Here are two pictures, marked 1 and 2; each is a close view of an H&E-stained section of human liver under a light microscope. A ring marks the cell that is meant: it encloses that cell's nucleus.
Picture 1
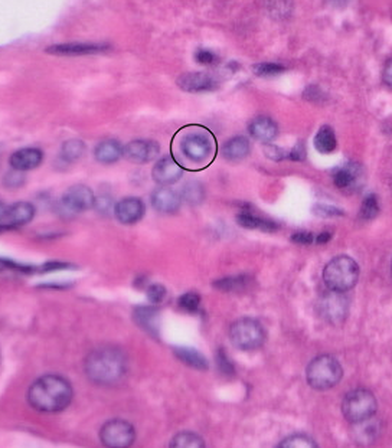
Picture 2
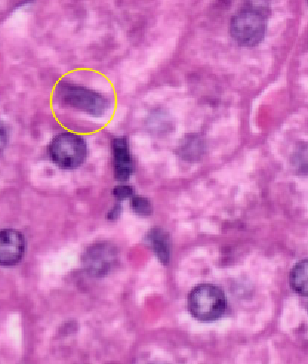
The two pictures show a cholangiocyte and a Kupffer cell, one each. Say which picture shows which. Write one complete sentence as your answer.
Picture 2 shows a Kupffer cell, while picture 1 shows a cholangiocyte.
